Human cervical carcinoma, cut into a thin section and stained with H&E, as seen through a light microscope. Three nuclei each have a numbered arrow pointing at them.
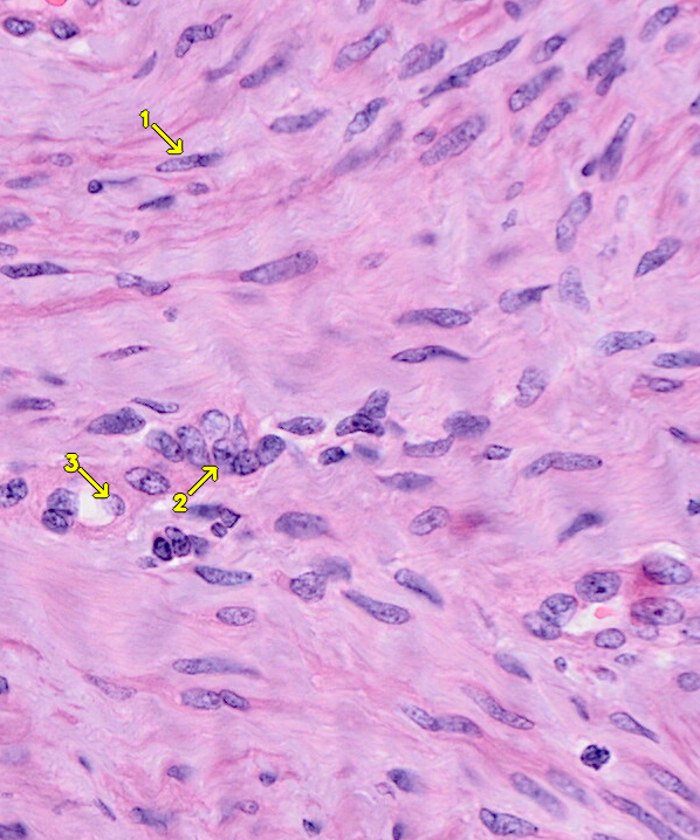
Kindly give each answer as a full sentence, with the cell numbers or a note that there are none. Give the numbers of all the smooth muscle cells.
Of the marked cells, the one numbered 1 is a smooth muscle cell and the rest are not.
